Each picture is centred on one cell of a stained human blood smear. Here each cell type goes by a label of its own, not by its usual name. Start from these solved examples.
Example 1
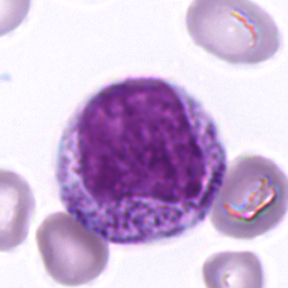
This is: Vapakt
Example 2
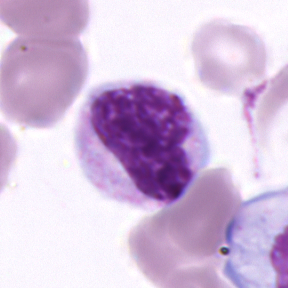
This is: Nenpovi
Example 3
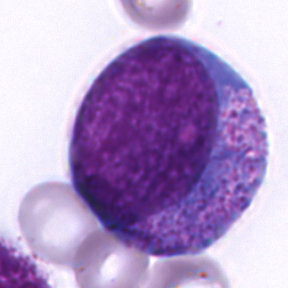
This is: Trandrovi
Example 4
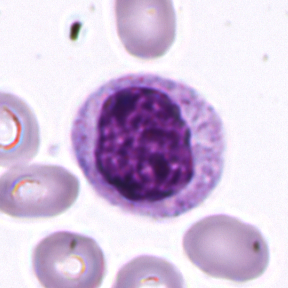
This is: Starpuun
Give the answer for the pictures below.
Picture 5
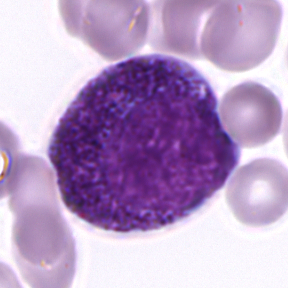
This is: Trandrovi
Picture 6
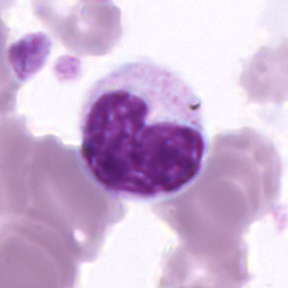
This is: Starpuun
